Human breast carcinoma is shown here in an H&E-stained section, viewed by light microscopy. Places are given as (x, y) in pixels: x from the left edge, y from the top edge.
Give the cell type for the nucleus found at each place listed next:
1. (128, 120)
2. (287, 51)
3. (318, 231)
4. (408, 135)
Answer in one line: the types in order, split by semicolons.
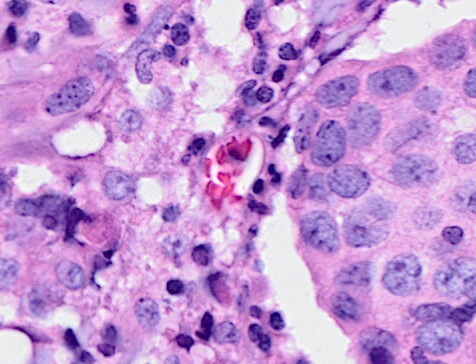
macrophage, monocyte or dendritic cell; lymphocyte; carcinoma cell; carcinoma cell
